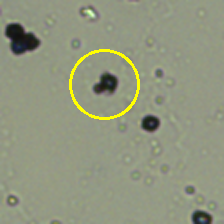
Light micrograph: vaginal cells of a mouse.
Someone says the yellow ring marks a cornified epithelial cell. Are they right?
They are not: the ring marks a leukocyte.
